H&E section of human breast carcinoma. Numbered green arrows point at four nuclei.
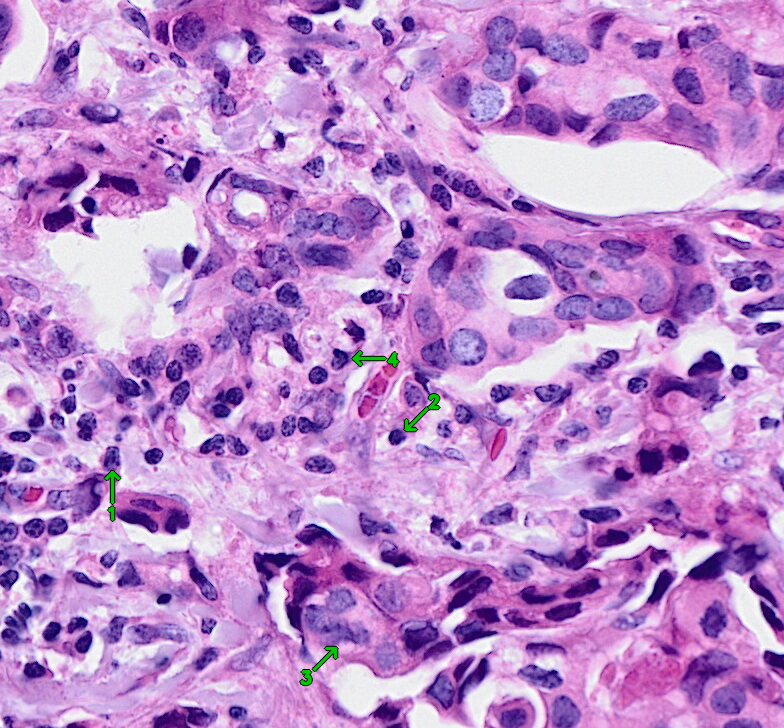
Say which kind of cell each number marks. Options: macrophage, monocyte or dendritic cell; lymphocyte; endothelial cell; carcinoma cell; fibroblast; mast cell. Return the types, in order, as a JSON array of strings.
["lymphocyte", "lymphocyte", "carcinoma cell", "lymphocyte"]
